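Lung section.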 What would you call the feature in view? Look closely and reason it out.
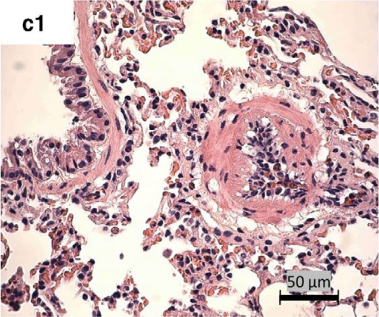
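A round vessel with a thick pink muscular wall lies to the right. Its small lumen contains several nucleated cells.
Conclusion: arteriole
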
